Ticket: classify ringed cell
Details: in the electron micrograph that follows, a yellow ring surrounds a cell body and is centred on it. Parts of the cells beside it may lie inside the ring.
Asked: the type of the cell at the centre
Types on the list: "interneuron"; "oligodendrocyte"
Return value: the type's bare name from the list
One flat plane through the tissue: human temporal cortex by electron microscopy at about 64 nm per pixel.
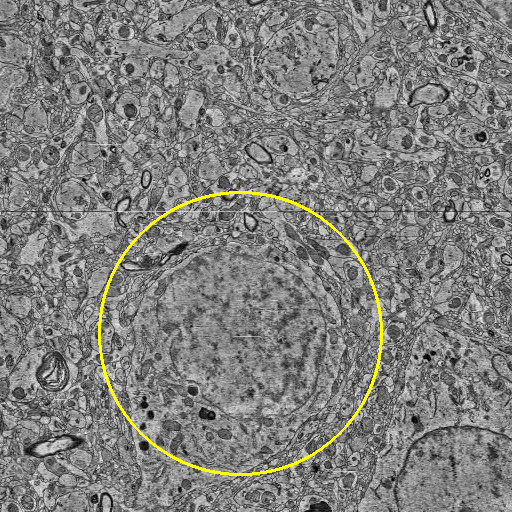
interneuron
